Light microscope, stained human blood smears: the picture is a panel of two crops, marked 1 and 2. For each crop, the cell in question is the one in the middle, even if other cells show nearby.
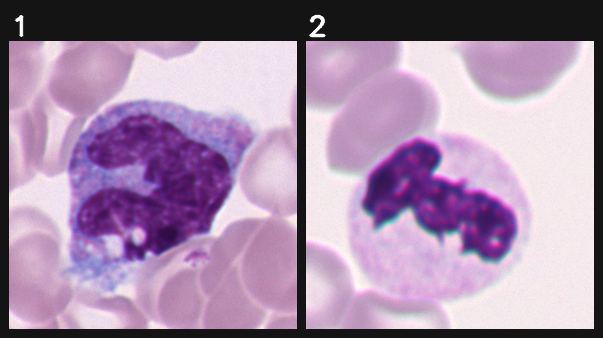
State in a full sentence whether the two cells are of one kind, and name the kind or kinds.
No, a monocyte is depicted by crop 1, a segmented neutrophil by crop 2.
